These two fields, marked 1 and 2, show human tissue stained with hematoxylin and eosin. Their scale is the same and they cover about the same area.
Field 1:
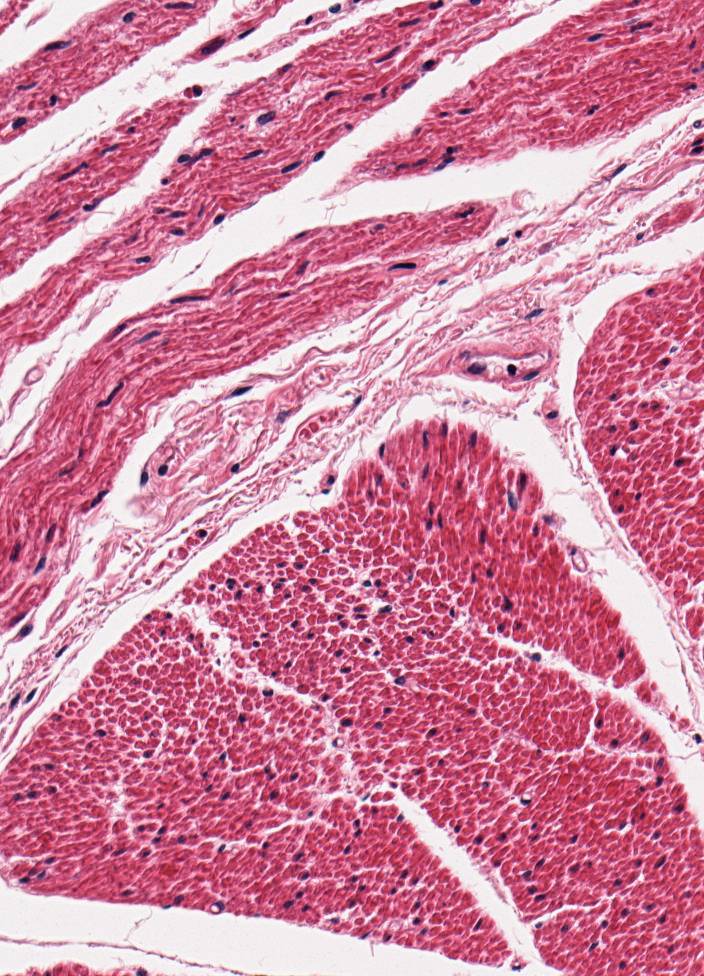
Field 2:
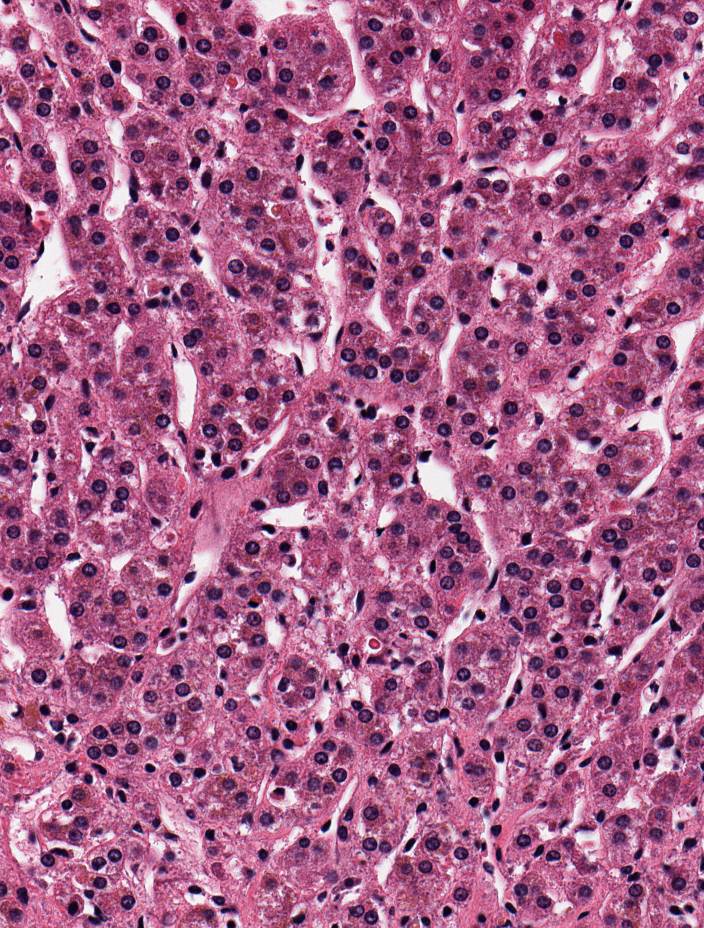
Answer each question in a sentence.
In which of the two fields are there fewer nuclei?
It is field 1 that has fewer nuclei in it.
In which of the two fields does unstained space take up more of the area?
It is field 1 in which white space covers the larger part.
